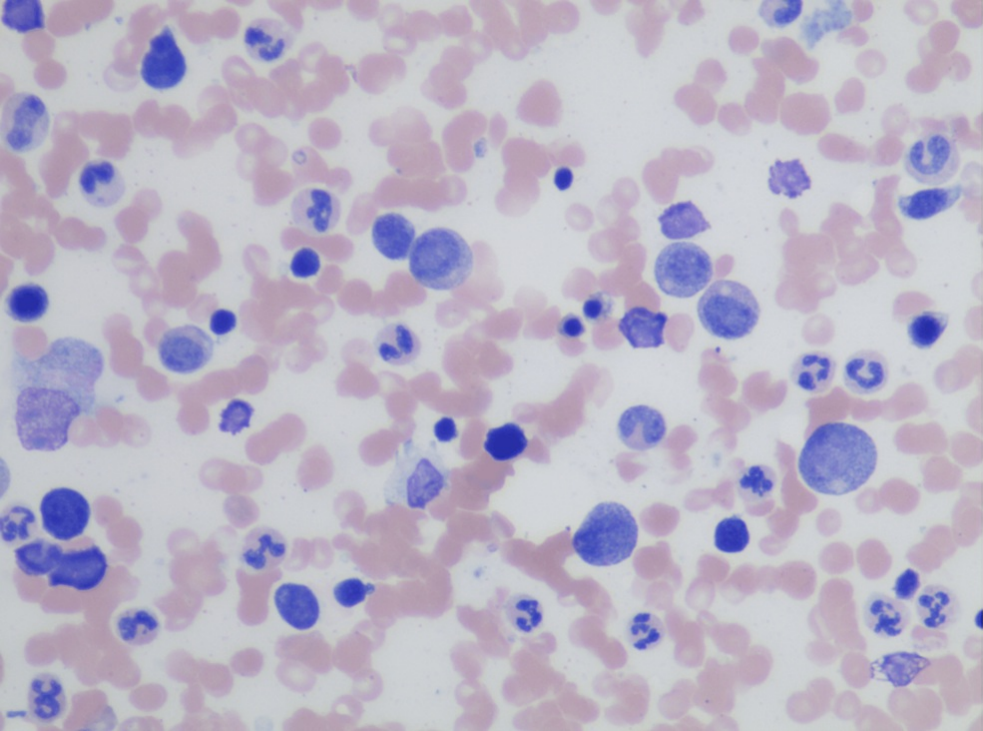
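This is a bone marrow aspirate smear with a mixture of blood-forming cells at several stages of maturity, lying among many pink red cells. Many cells are neutrophils, with pale cytoplasm and nuclei that are segmented into lobes or shaped like bands. There are small round cells with very dark, dense, round nuclei and little cytoplasm. There are also larger round cells with finely textured purple-blue nuclei and blue cytoplasm. These cells are evenly scattered rather than forming sheets, and no cluster of uniform large cells stands out. Together, these cell types and their range of maturity suggest hematopoiesis of more than one lineage.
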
